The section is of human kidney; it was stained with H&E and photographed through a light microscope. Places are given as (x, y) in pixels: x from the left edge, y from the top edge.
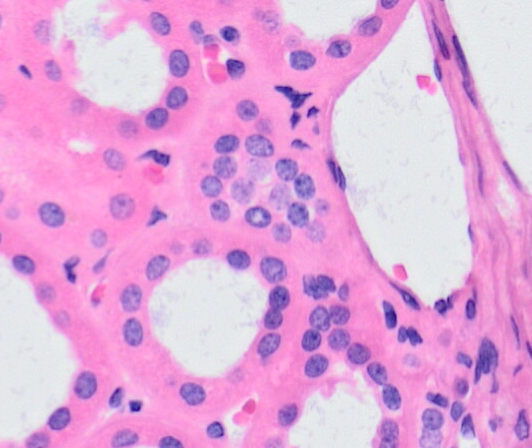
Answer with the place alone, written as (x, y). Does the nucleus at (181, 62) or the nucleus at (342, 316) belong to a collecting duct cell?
(342, 316)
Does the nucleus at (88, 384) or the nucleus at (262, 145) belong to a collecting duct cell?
(262, 145)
